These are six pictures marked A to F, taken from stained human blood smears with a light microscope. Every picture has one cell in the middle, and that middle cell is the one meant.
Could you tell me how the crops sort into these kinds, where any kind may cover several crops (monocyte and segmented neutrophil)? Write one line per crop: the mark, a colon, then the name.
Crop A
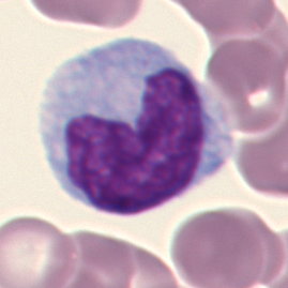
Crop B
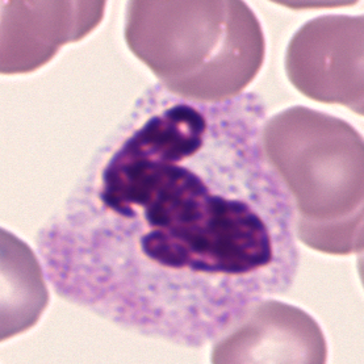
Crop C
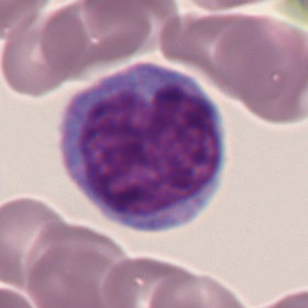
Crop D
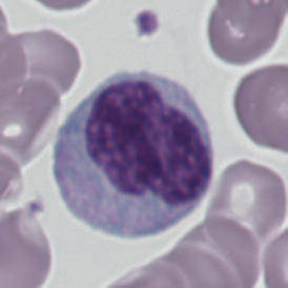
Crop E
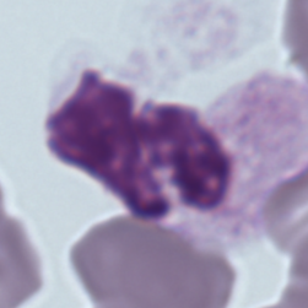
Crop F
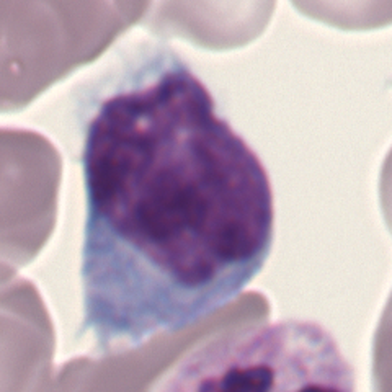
A: monocyte
B: segmented neutrophil
C: monocyte
D: monocyte
E: segmented neutrophil
F: monocyte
